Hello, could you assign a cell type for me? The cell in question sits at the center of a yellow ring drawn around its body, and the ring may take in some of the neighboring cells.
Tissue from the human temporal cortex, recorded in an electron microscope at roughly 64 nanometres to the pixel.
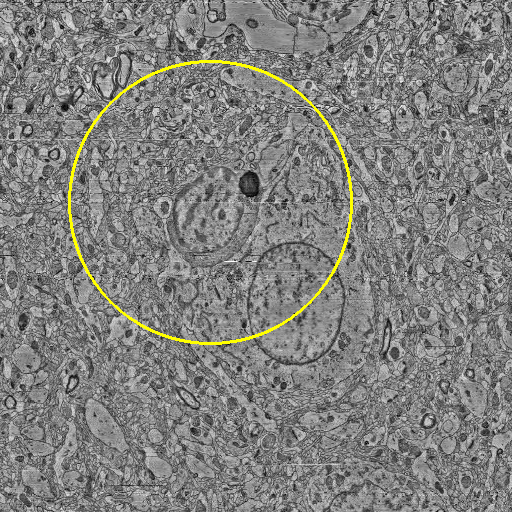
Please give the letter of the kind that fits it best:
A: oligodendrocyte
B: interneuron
A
